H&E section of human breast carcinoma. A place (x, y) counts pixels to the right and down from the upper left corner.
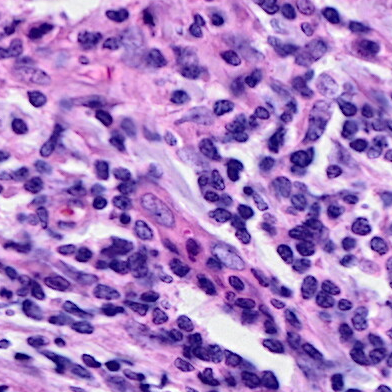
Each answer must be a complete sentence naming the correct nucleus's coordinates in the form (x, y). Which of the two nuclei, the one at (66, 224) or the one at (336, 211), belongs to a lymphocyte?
Of the two nuclei, that at (336, 211) is the nucleus of a lymphocyte.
